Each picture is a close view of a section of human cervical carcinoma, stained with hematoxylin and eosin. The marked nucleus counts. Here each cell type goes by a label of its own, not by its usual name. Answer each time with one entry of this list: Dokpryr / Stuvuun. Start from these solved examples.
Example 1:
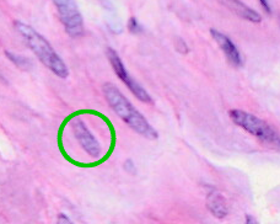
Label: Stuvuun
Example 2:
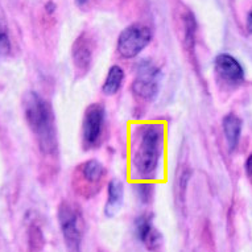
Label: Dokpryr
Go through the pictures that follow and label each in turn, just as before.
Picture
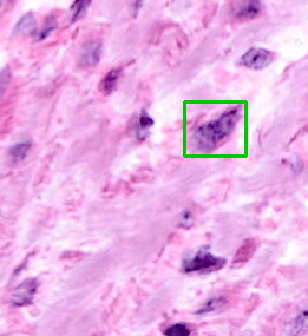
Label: Dokpryr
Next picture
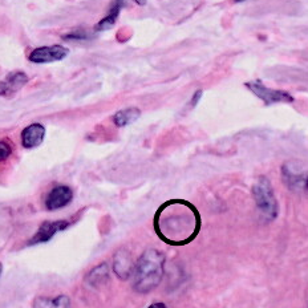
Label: Stuvuun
